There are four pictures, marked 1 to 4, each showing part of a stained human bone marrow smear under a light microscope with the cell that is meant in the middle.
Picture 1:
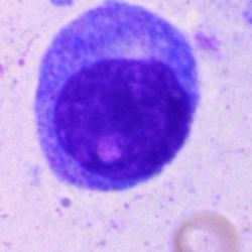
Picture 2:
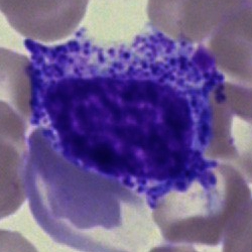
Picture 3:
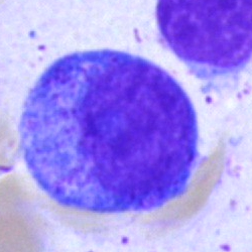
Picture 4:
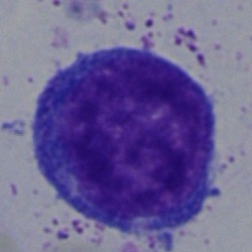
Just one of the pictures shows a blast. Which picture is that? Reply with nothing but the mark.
4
